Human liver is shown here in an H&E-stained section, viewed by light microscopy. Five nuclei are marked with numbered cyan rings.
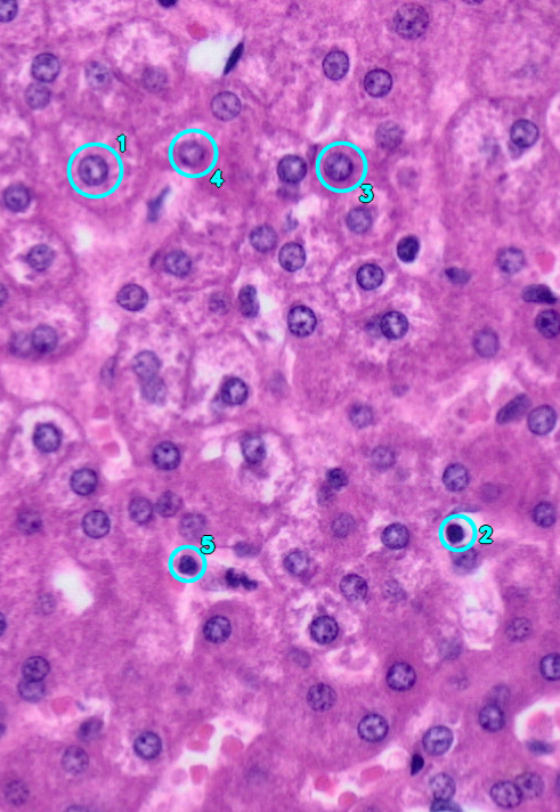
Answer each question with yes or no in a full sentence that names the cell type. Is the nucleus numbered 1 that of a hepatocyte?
Yes, looking at number 1, that cell is a hepatocyte.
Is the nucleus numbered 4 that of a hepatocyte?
Yes, the number 4 belongs to a hepatocyte.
